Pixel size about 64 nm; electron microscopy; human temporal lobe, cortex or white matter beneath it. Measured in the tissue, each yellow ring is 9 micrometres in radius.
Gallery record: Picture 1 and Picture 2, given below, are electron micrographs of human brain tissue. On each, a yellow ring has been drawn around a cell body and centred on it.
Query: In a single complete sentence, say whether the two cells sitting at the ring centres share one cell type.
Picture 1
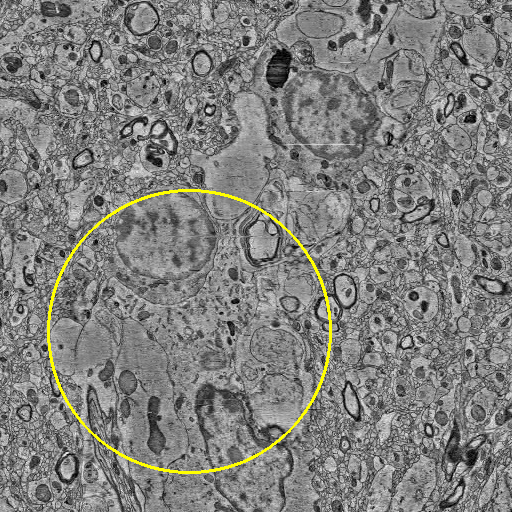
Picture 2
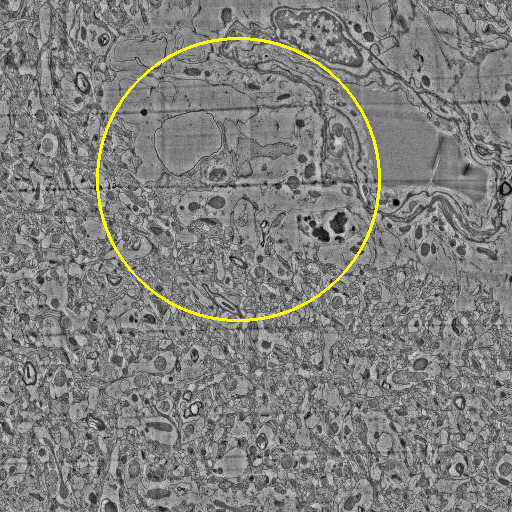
Yes, in both pictures the cell at the ring's centre is of one and the same type.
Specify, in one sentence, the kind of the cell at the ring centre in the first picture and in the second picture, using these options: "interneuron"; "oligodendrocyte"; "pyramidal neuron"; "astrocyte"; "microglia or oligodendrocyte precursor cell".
Each cell, in the first picture and the second, is a microglial cell or oligodendrocyte precursor cell.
